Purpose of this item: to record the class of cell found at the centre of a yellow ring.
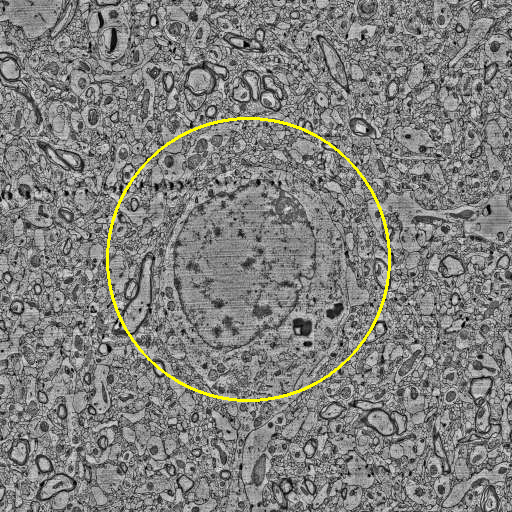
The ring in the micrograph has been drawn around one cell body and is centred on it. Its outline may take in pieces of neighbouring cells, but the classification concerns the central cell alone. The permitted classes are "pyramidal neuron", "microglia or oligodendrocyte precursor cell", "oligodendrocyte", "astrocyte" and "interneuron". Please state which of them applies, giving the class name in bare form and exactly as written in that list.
interneuron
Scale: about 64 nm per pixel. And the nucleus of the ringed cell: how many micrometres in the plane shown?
The nucleus comes to roughly 11 by 9 micrometres in this plane.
